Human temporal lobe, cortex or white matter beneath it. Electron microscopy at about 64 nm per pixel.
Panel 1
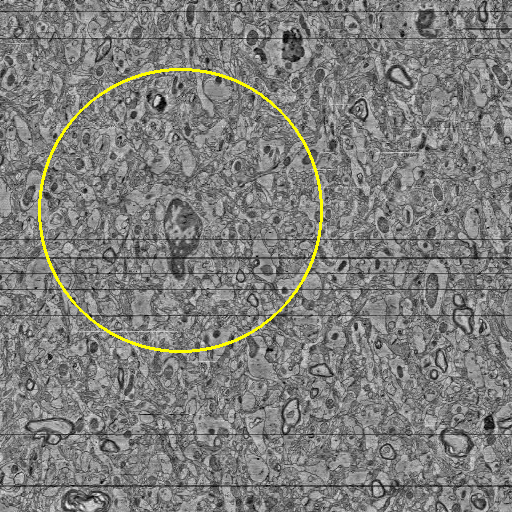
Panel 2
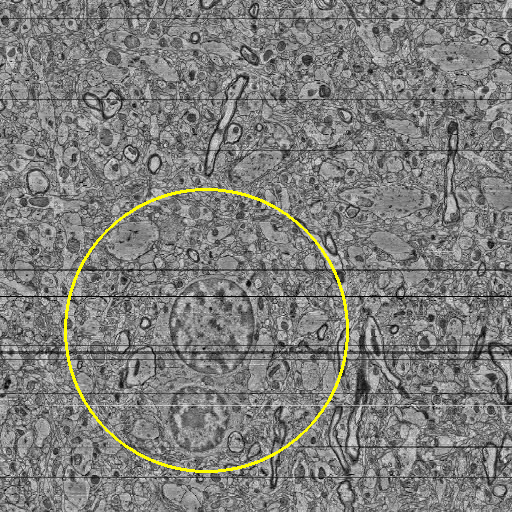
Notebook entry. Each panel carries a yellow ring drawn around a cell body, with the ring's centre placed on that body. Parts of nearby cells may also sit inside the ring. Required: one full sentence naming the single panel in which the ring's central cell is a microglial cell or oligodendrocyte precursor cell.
Panel 1 is the single one with the sought cell at its ring's centre.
